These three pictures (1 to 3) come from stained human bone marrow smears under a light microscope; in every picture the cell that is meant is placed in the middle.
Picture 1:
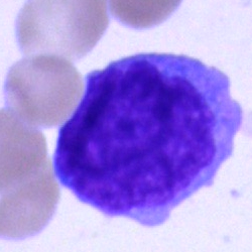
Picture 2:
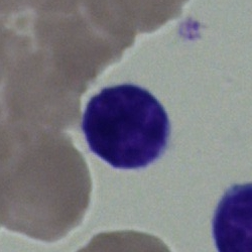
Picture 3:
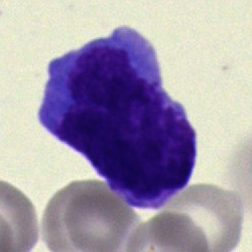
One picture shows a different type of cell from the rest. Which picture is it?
2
